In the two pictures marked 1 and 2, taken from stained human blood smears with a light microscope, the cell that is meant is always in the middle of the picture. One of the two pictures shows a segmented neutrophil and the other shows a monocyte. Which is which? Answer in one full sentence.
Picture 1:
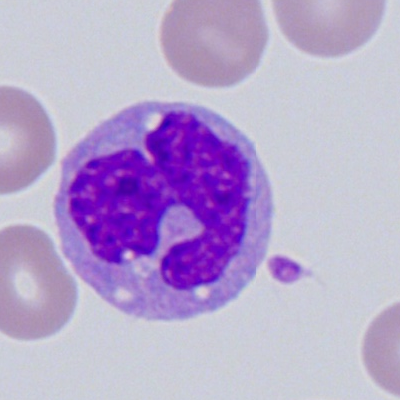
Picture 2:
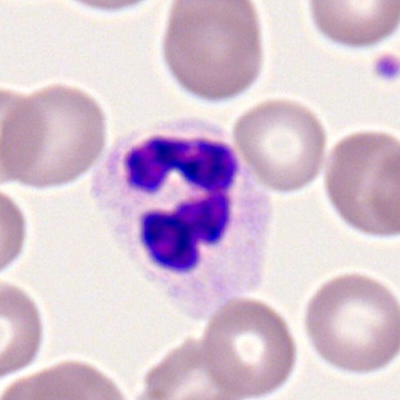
Picture 2 shows a segmented neutrophil, while picture 1 shows a monocyte.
